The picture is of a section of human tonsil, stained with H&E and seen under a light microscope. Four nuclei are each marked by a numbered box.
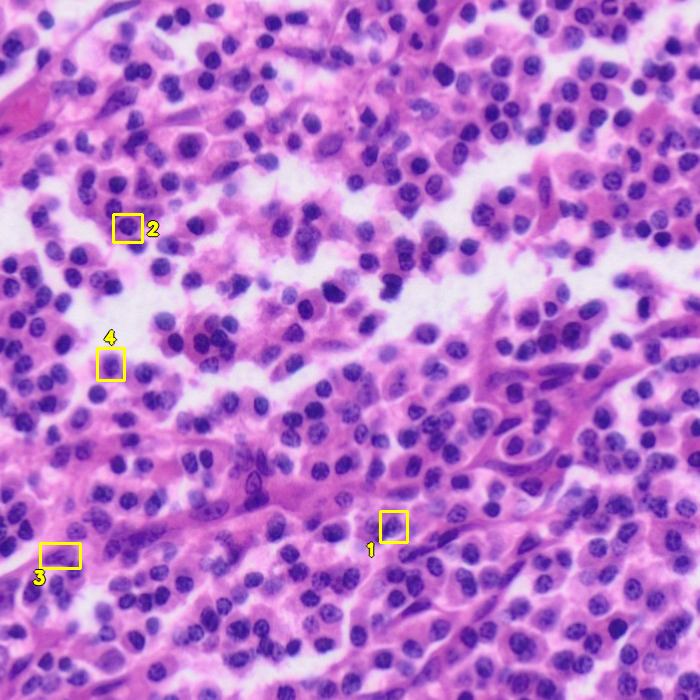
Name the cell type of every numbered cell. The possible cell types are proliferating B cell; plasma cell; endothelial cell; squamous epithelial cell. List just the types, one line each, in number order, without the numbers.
plasma cell
plasma cell
squamous epithelial cell
plasma cell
